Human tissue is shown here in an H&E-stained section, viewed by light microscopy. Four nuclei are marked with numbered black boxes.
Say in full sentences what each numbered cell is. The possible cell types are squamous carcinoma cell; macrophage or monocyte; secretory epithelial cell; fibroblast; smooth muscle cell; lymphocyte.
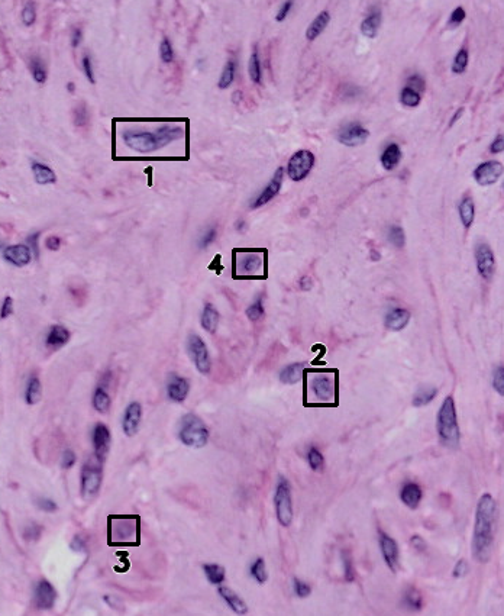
Cell 1 is a fibroblast. Cells 2, 3 and 4 are smooth muscle cells.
